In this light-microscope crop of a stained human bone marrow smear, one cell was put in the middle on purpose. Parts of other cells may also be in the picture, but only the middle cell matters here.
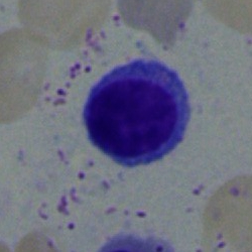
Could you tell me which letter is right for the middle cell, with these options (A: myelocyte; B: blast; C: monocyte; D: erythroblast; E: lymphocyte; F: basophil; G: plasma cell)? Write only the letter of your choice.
E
